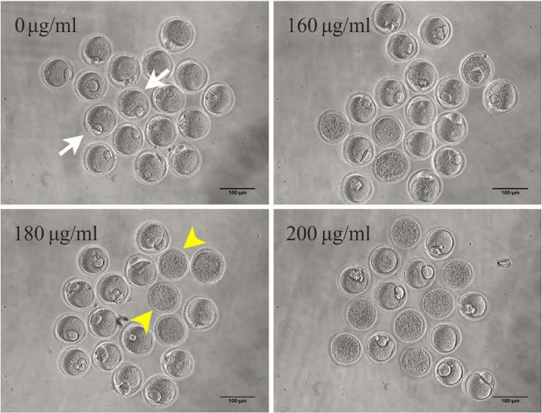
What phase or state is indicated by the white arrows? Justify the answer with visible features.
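The arrowed oocytes are large round cells inside a clear zona. A small round body sits beside each arrowed oocyte in the space under the zona.
Answer: oocyte with the first polar body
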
